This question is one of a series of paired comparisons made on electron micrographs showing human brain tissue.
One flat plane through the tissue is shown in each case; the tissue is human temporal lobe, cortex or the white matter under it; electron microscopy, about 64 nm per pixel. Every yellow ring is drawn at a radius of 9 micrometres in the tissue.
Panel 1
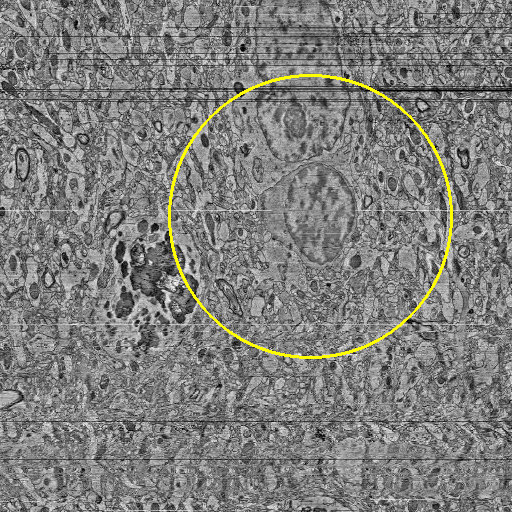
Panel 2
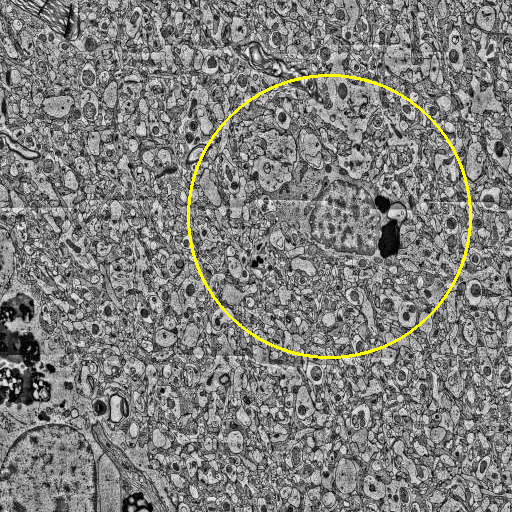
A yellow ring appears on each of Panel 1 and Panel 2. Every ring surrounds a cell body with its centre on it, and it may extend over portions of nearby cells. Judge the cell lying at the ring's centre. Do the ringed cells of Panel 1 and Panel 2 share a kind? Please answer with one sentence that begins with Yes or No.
Yes, the ring-centre cell in Panel 1 and the one in Panel 2 are of one kind.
